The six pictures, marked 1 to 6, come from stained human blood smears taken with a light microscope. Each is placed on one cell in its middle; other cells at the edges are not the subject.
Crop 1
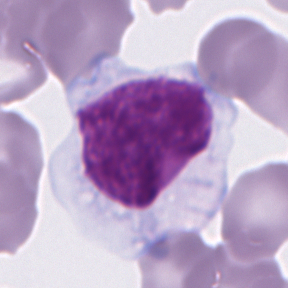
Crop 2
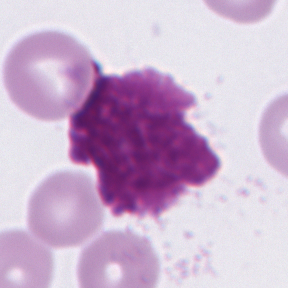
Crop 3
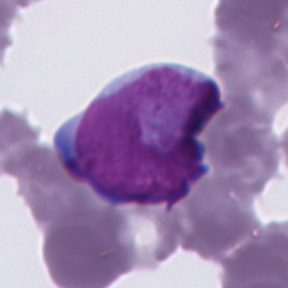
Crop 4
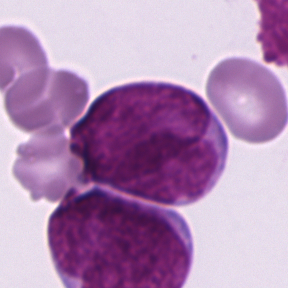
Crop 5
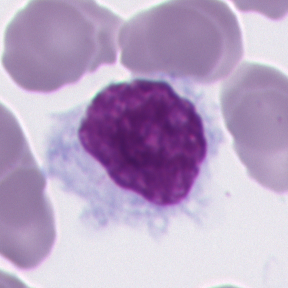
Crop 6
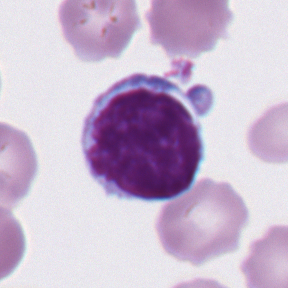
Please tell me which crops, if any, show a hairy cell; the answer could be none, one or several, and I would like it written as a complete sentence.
Crops 1 and 5 are the ones showing hairy cells.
